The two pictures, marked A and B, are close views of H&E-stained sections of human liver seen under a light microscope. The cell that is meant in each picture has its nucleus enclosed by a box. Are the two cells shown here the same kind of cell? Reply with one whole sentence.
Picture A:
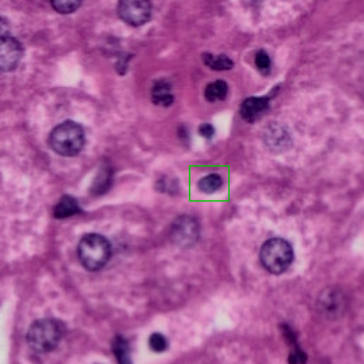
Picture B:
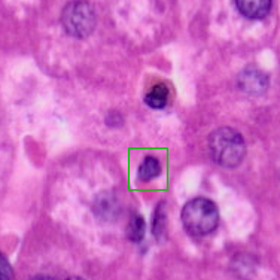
Yes, both cells are lymphocytes.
